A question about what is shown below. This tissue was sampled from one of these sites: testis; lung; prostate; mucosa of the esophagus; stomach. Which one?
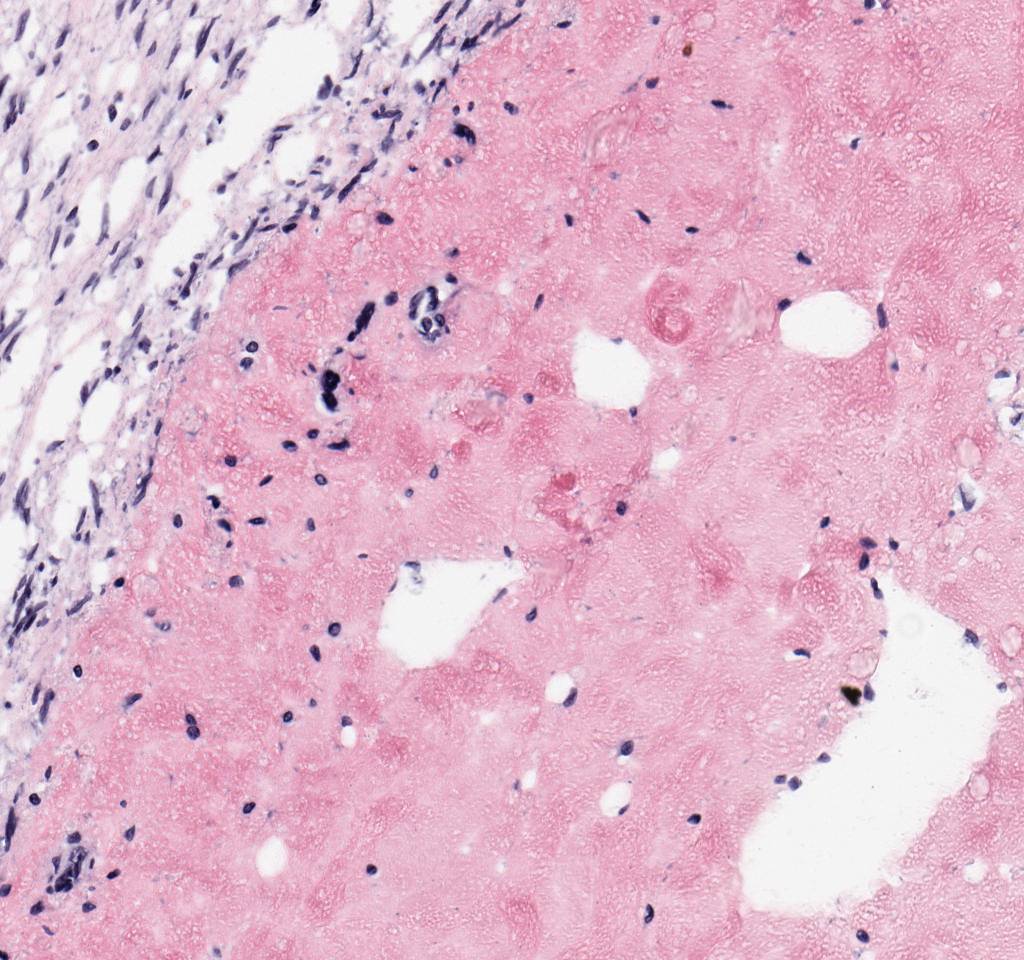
stomach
